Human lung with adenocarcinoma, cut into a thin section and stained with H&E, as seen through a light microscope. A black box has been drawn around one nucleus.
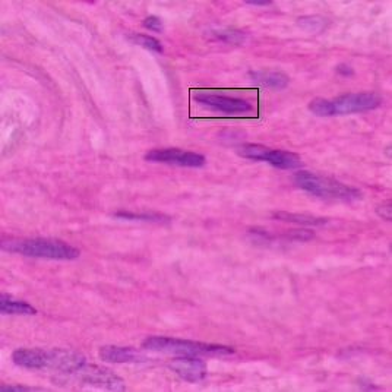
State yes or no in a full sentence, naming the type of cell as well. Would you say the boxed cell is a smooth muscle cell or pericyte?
Yes, a smooth muscle cell or pericyte is what the boxed cell is in this section.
